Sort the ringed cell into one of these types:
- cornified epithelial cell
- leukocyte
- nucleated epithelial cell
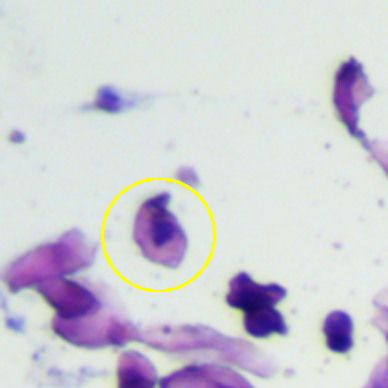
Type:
nucleated epithelial cell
